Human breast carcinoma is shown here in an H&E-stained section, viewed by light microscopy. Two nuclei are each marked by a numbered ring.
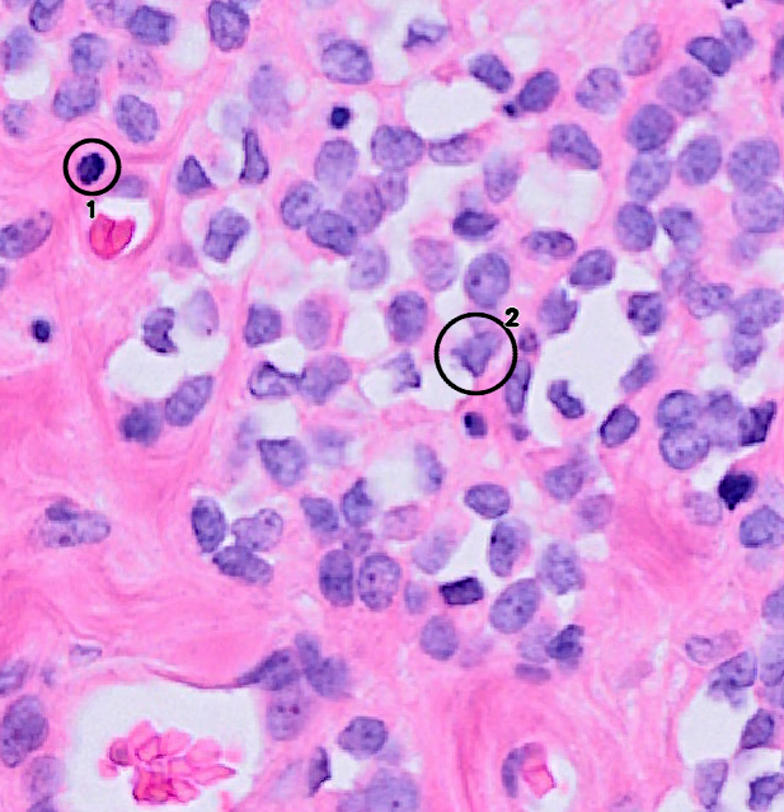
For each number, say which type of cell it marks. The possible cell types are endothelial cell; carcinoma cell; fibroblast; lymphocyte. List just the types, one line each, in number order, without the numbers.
lymphocyte
carcinoma cell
